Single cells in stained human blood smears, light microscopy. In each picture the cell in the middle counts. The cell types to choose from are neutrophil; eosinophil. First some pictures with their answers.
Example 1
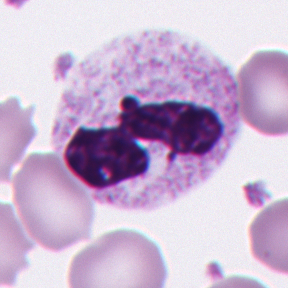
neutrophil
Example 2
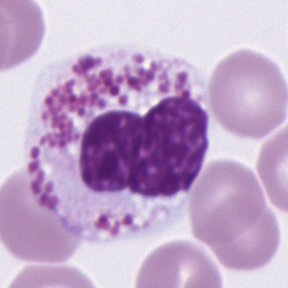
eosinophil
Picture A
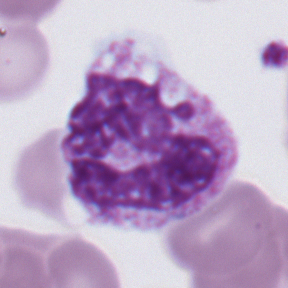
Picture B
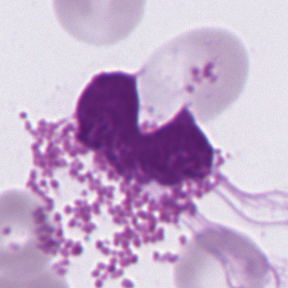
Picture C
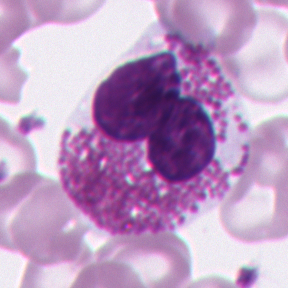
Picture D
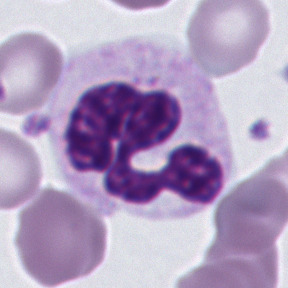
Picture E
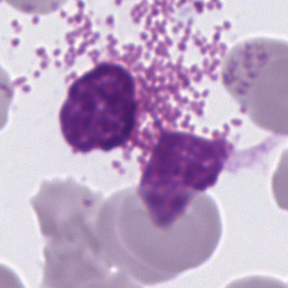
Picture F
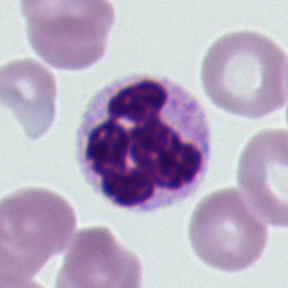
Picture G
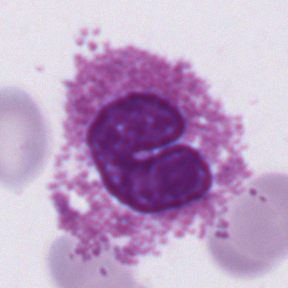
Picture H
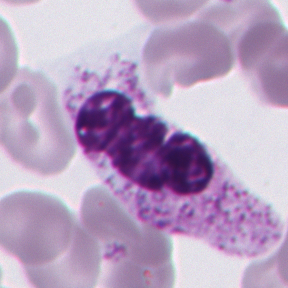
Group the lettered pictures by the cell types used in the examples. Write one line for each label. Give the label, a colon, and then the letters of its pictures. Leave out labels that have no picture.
neutrophil: A, D, F, H
eosinophil: B, C, E, G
